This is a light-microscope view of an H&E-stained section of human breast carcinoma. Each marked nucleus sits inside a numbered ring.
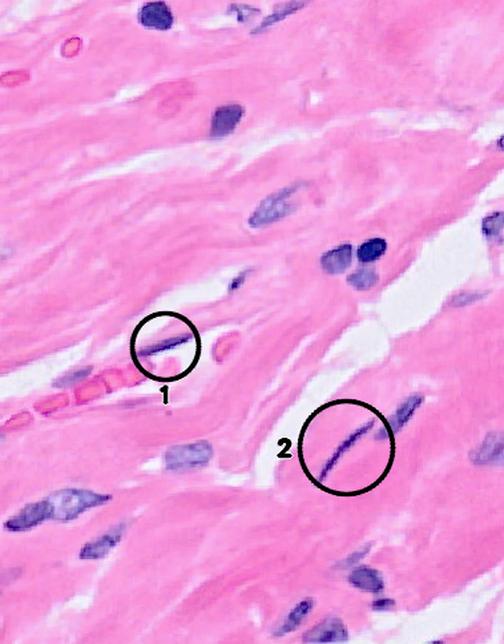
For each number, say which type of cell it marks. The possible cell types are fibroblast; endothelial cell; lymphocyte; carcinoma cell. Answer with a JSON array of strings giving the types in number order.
["endothelial cell", "fibroblast"]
